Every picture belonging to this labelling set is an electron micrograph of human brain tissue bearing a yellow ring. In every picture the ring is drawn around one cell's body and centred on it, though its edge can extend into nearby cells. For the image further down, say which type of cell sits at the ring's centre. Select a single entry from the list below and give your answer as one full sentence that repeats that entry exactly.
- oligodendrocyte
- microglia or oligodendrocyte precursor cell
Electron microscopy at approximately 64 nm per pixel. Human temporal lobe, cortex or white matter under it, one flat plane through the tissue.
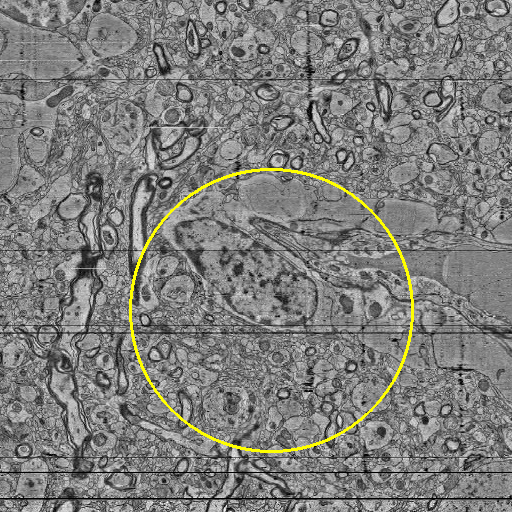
In the picture, a microglial cell or oligodendrocyte precursor cell is the cell at the centre of the yellow ring.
